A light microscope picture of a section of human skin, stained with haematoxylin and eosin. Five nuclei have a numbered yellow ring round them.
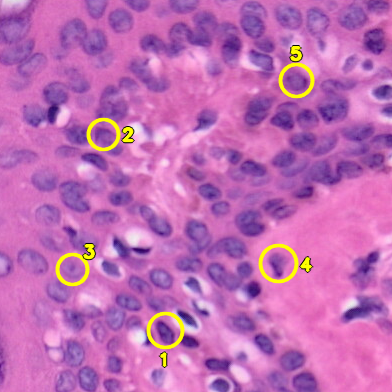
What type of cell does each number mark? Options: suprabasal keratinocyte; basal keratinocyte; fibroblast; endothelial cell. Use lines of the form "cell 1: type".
cell 1: basal keratinocyte
cell 2: basal keratinocyte
cell 3: suprabasal keratinocyte
cell 4: fibroblast
cell 5: basal keratinocyte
